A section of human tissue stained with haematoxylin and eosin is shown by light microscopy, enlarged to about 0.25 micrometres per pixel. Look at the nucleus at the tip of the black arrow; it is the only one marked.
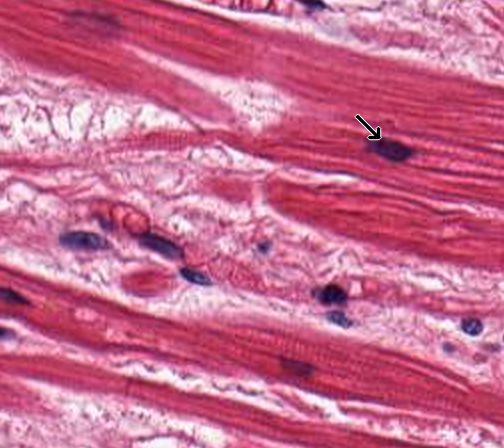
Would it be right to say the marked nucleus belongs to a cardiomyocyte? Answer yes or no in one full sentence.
Yes, the marked nucleus is to be assigned to a cardiomyocyte.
